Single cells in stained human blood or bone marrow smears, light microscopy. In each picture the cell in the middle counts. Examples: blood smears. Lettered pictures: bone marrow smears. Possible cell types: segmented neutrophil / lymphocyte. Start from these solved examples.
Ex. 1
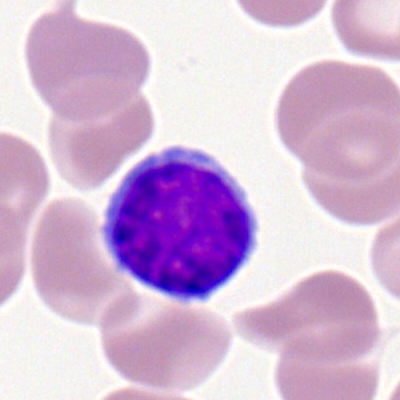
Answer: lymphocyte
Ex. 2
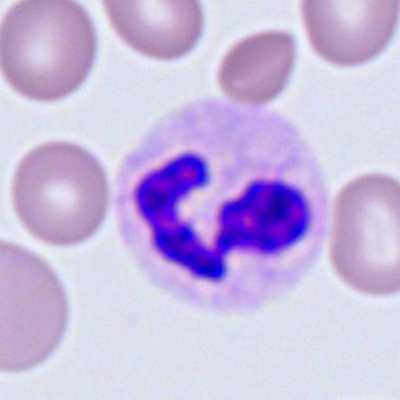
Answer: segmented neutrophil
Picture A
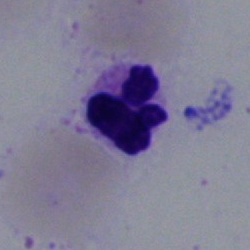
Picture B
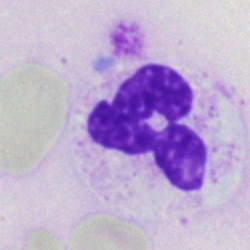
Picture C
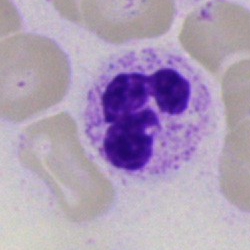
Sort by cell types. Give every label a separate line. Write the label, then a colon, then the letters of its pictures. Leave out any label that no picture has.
segmented neutrophil: A, B, C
